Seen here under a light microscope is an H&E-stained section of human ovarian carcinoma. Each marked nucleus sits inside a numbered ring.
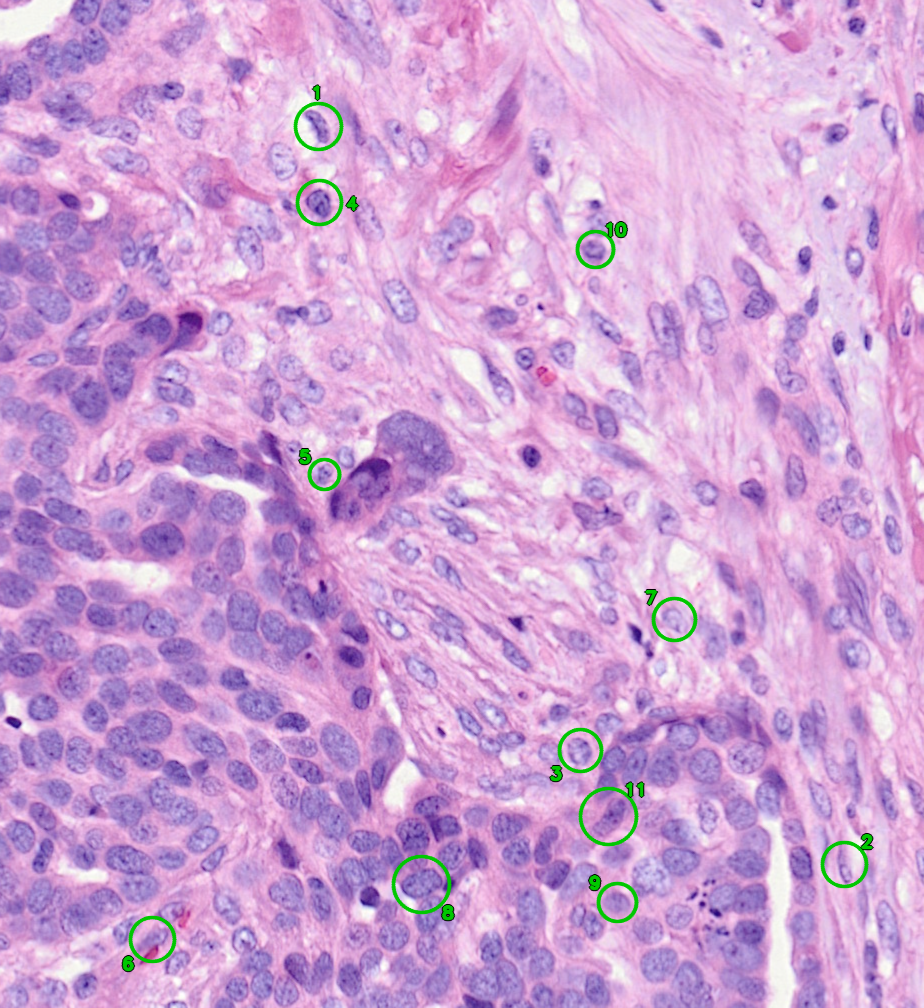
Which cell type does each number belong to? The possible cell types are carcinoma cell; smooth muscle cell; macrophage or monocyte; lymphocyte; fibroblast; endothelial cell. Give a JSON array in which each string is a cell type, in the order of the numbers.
["macrophage or monocyte", "fibroblast", "macrophage or monocyte", "macrophage or monocyte", "macrophage or monocyte", "endothelial cell", "fibroblast", "carcinoma cell", "carcinoma cell", "macrophage or monocyte", "carcinoma cell"]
